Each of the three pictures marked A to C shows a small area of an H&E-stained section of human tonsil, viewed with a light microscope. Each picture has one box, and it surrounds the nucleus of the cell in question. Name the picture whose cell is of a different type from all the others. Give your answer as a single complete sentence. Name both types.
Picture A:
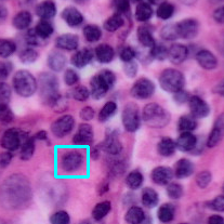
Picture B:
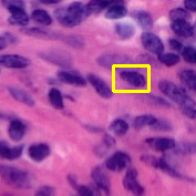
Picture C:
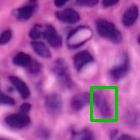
All pictures except C show endothelial cells; picture C shows a squamous epithelial cell.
